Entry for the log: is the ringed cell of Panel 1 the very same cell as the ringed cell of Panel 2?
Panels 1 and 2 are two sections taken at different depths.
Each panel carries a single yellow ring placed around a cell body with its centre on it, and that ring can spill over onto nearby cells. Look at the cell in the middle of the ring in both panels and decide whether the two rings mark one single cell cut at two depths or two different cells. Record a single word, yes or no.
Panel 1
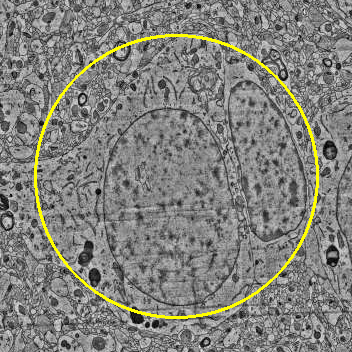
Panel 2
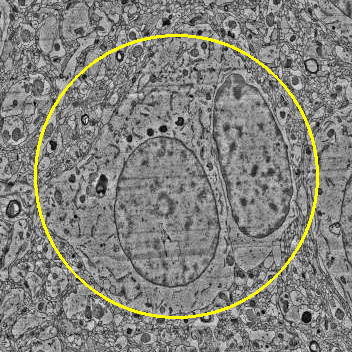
yes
